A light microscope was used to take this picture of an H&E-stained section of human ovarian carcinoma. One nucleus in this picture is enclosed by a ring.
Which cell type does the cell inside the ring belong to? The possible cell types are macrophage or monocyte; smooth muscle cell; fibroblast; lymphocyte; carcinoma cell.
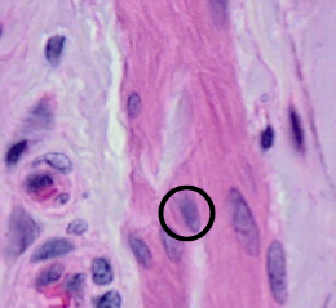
smooth muscle cell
